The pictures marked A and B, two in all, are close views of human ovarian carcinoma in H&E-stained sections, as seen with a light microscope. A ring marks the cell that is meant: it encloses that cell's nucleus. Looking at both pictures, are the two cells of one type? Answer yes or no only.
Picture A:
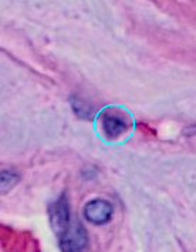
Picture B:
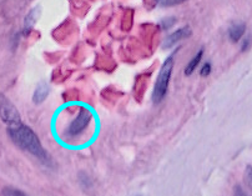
yes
